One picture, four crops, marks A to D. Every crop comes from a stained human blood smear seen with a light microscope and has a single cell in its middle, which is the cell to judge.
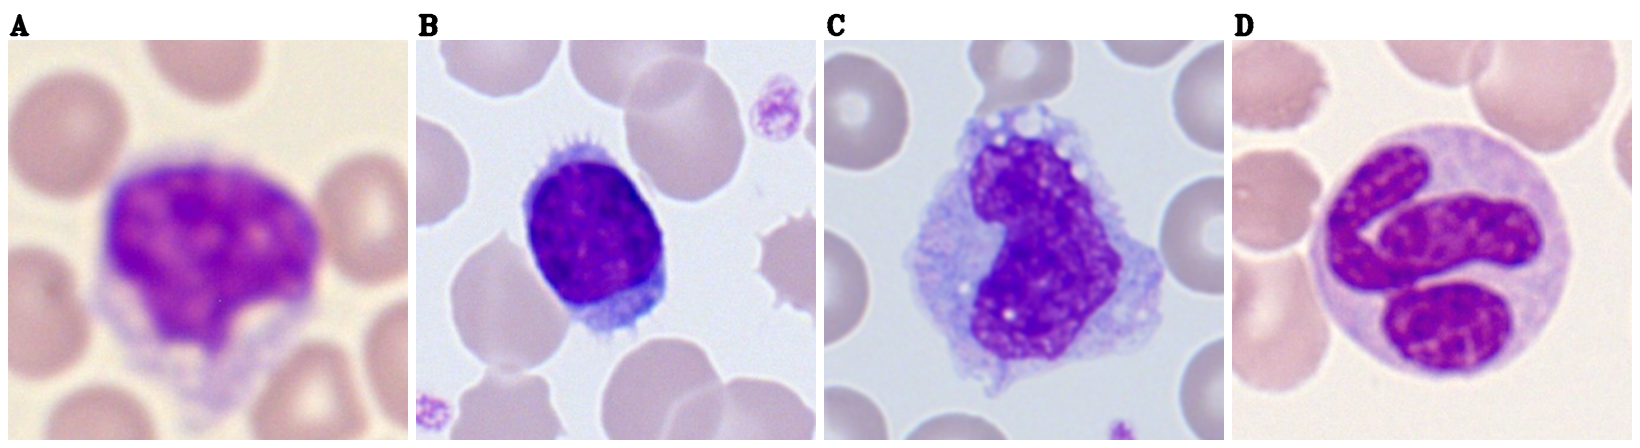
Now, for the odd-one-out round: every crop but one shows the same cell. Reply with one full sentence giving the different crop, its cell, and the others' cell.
The exception is crop B: it is a lymphocyte, and the others are all monocytes.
